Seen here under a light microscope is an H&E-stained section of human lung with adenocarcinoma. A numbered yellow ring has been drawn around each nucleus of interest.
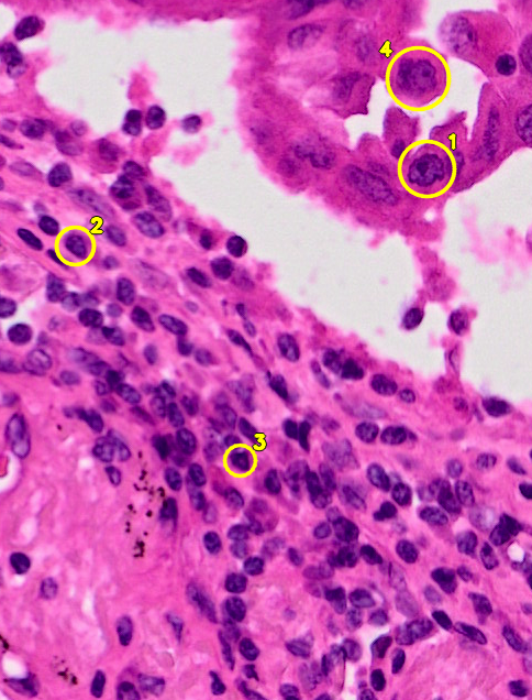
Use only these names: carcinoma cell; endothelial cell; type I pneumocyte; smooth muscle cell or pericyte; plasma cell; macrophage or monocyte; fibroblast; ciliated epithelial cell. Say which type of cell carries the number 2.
plasma cell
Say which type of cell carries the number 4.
carcinoma cell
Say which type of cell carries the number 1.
carcinoma cell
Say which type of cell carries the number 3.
plasma cell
